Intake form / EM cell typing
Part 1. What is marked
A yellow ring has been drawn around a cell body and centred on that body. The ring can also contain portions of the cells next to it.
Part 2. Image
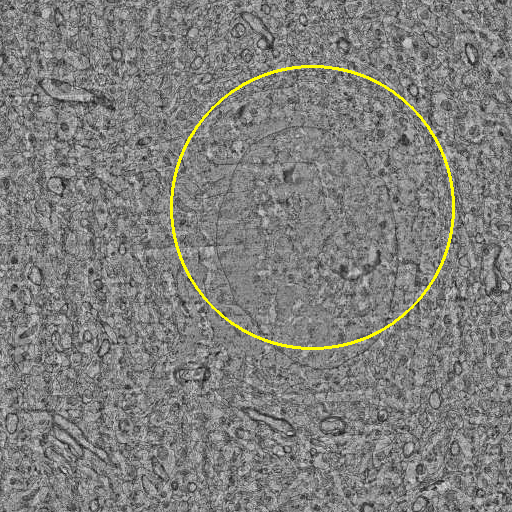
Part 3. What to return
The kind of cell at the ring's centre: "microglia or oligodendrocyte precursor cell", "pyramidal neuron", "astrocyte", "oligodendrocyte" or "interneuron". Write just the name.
pyramidal neuron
